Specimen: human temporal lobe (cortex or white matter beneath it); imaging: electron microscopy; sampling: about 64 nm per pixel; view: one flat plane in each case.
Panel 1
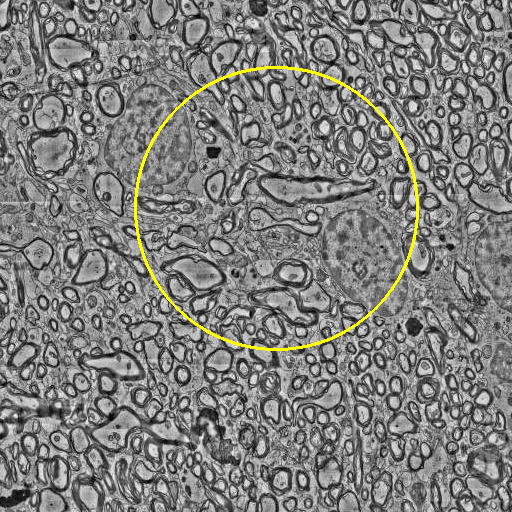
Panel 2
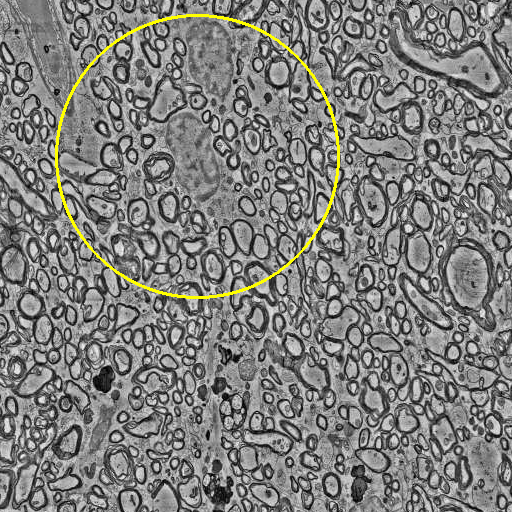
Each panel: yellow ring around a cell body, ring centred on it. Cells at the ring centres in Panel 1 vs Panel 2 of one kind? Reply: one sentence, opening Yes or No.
Yes, Panel 1 and Panel 2 have cells of one kind at the ring centres.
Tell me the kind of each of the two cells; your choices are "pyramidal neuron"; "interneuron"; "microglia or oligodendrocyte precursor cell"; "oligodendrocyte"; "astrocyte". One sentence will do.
Both cells are the same kind, each one being an oligodendrocyte.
